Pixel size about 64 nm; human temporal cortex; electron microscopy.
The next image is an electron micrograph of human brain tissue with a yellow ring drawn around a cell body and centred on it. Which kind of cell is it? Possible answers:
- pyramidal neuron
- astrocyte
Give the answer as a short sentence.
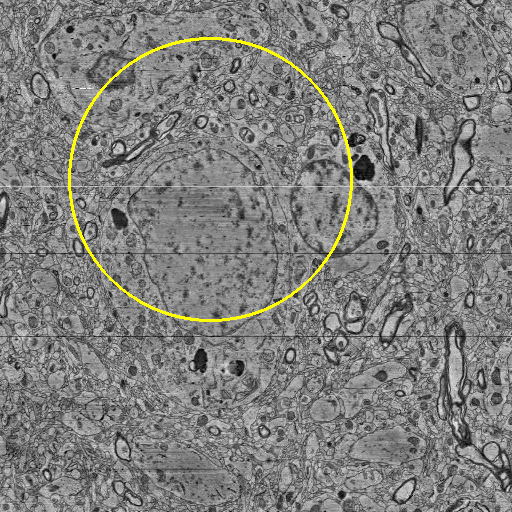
In the ring's centre is a pyramidal neuron.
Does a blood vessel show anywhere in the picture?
No, no blood vessel can be seen.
